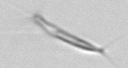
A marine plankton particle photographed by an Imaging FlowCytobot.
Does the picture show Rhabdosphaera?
No, it shows Calciosolenia.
